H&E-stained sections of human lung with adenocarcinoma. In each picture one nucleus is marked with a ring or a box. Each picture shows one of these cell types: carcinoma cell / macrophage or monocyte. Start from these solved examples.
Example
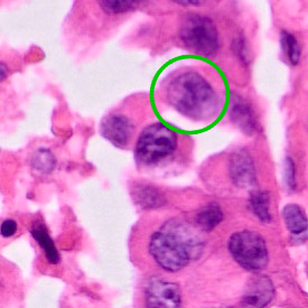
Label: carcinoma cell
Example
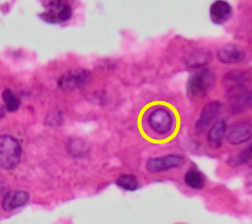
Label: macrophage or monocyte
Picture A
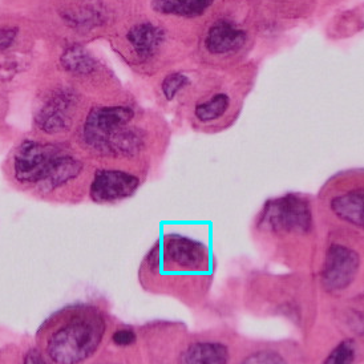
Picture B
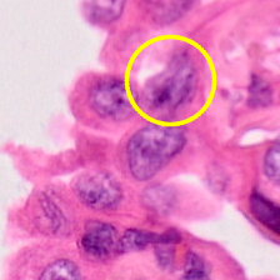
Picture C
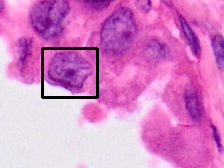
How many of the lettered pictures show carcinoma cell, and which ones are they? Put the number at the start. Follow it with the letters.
3, namely A, B, C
